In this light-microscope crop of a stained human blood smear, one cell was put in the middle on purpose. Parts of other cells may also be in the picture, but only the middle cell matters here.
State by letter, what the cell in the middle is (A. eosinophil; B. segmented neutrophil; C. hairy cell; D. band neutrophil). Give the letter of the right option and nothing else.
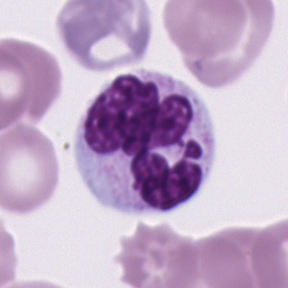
B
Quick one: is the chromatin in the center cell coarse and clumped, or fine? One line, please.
If you check the nucleus, you will find the chromatin coarsely clumped.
